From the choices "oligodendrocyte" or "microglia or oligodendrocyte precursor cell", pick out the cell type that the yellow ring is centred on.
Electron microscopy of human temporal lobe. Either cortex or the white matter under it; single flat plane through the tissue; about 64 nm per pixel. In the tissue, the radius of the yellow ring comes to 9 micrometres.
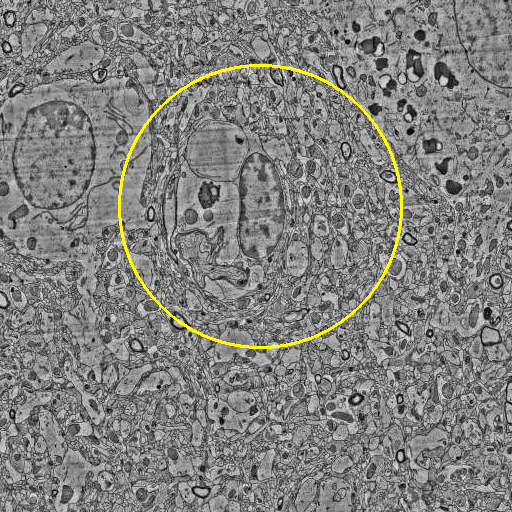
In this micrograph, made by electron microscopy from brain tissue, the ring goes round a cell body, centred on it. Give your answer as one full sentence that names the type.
The yellow ring is centred on a microglial cell or oligodendrocyte precursor cell, whose cell body it encircles in the picture.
